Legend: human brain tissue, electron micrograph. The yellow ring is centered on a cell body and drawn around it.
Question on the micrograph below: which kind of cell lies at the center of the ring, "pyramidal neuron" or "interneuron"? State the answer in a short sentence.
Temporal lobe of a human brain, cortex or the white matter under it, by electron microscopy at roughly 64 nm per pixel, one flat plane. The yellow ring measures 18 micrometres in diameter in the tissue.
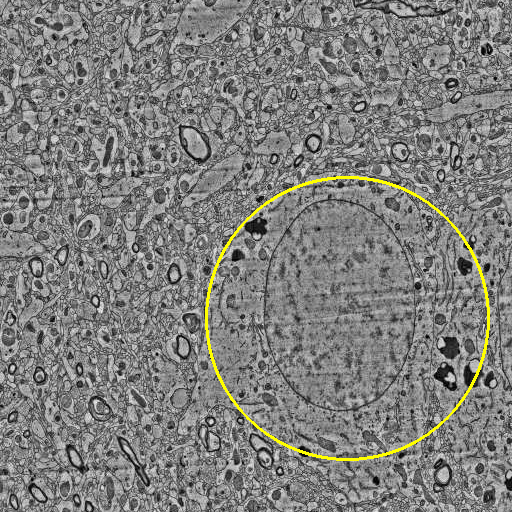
At the center of the ring lies a pyramidal neuron.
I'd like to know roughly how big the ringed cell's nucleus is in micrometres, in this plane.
Approximately 14 x 10 micrometres in this plane.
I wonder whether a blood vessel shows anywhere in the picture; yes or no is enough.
No, no vessel shows anywhere in the image.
